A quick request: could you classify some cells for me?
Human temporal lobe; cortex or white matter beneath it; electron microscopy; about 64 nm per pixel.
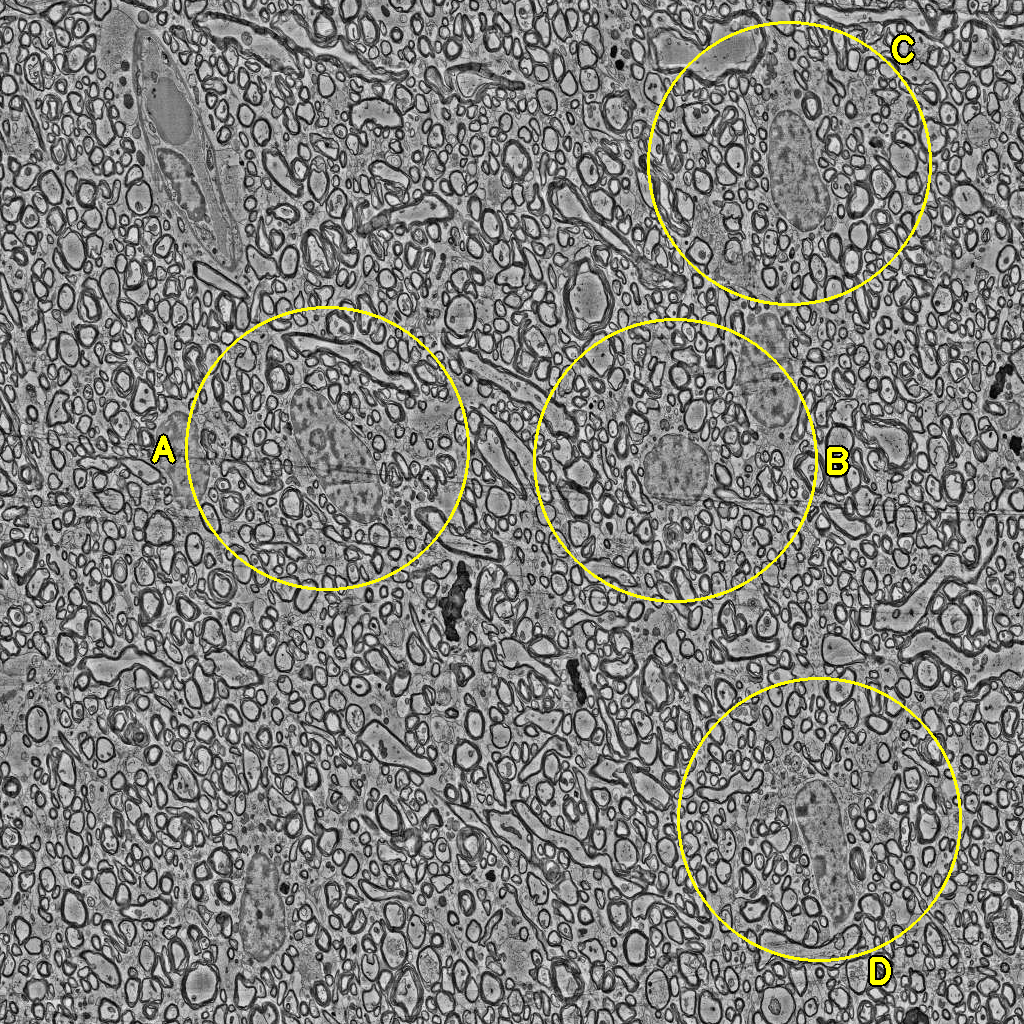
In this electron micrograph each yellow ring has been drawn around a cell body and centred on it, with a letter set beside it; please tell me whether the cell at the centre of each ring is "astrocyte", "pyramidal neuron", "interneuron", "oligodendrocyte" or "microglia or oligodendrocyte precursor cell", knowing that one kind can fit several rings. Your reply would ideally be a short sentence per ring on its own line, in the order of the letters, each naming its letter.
Ring A has a microglial cell or oligodendrocyte precursor cell at its centre.
Ring B has an oligodendrocyte at its centre.
Ring C has an oligodendrocyte at its centre.
Ring D has a microglial cell or oligodendrocyte precursor cell at its centre.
